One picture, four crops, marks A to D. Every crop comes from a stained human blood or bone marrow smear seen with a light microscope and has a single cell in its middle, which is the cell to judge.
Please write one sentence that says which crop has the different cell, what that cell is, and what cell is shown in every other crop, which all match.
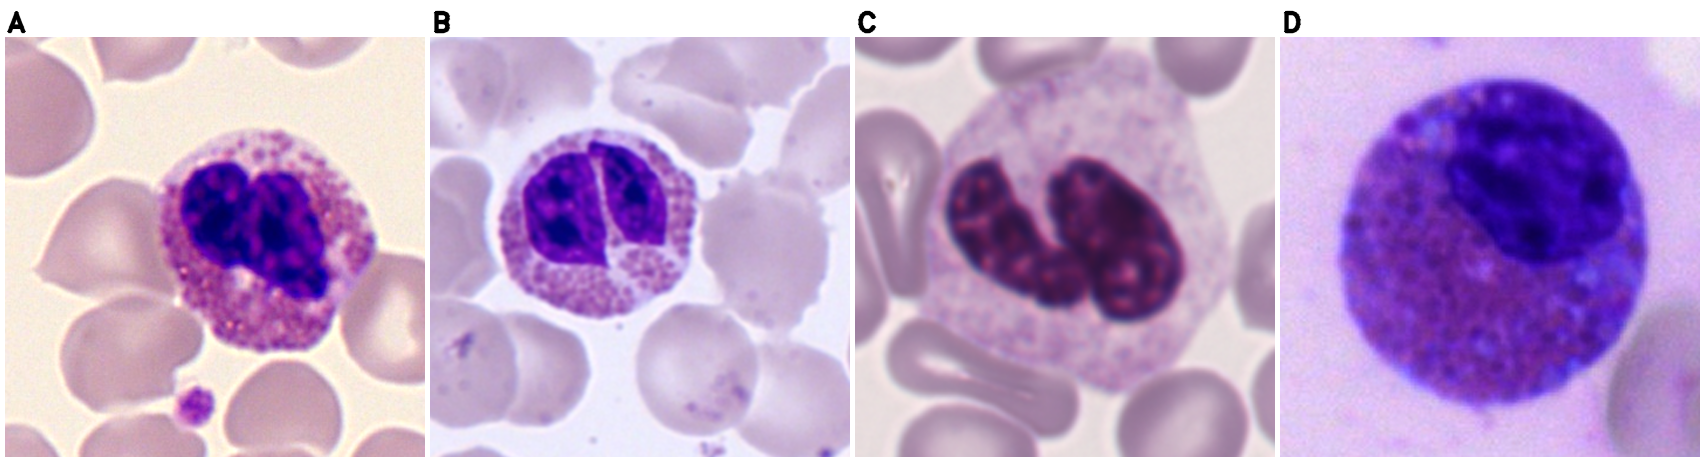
All crops show eosinophils except crop C, which is a neutrophil.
